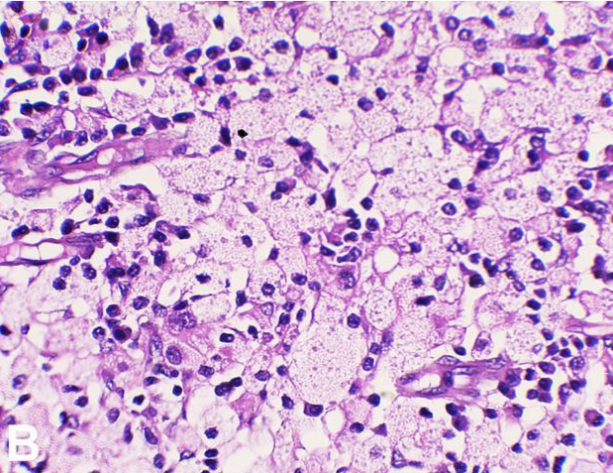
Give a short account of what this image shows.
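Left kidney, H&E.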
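Sheets of polygonal histiocytes with abundant pale pink, foamy, finely vacuolated cytoplasm fill the field. Small round lymphocytes with dense dark nuclei gather in focal clusters between the foamy cells. Thin strands of pink stroma with elongated nuclei cross the field.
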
